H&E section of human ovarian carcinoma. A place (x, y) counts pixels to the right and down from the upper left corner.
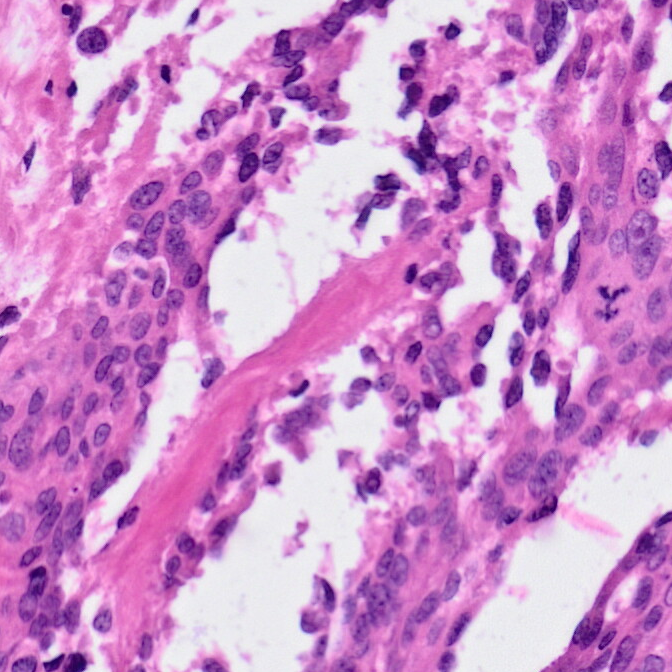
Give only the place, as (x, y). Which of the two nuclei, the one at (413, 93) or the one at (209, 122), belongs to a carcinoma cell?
(413, 93)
